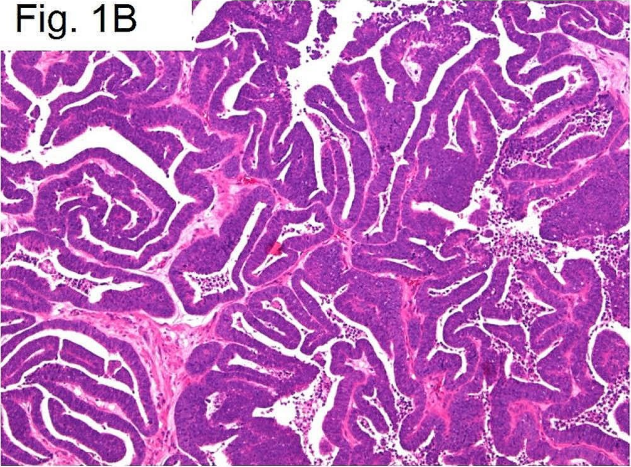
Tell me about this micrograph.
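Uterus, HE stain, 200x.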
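This is a gland-forming carcinoma of the endometrium: crowded, irregular and winding glands lined by tall columnar cells sit almost back to back. The lining is several cells thick, with dark, elongated, crowded nuclei and purple cytoplasm, and in places the epithelium grows as solid sheets without lumens. Only thin strands of pink fibrous stroma separate the glands, and some lumens contain loose debris and shed cells.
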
